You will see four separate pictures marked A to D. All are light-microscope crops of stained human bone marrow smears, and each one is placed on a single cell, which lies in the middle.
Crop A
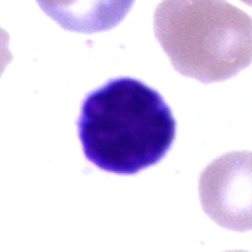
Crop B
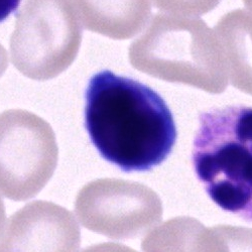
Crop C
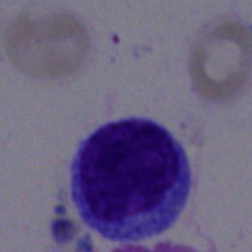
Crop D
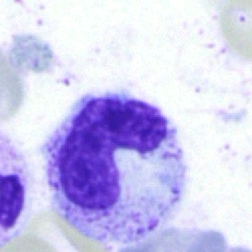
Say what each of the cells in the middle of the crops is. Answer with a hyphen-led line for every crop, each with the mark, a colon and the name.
- A: lymphocyte
- B: lymphocyte
- C: lymphocyte
- D: band neutrophil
